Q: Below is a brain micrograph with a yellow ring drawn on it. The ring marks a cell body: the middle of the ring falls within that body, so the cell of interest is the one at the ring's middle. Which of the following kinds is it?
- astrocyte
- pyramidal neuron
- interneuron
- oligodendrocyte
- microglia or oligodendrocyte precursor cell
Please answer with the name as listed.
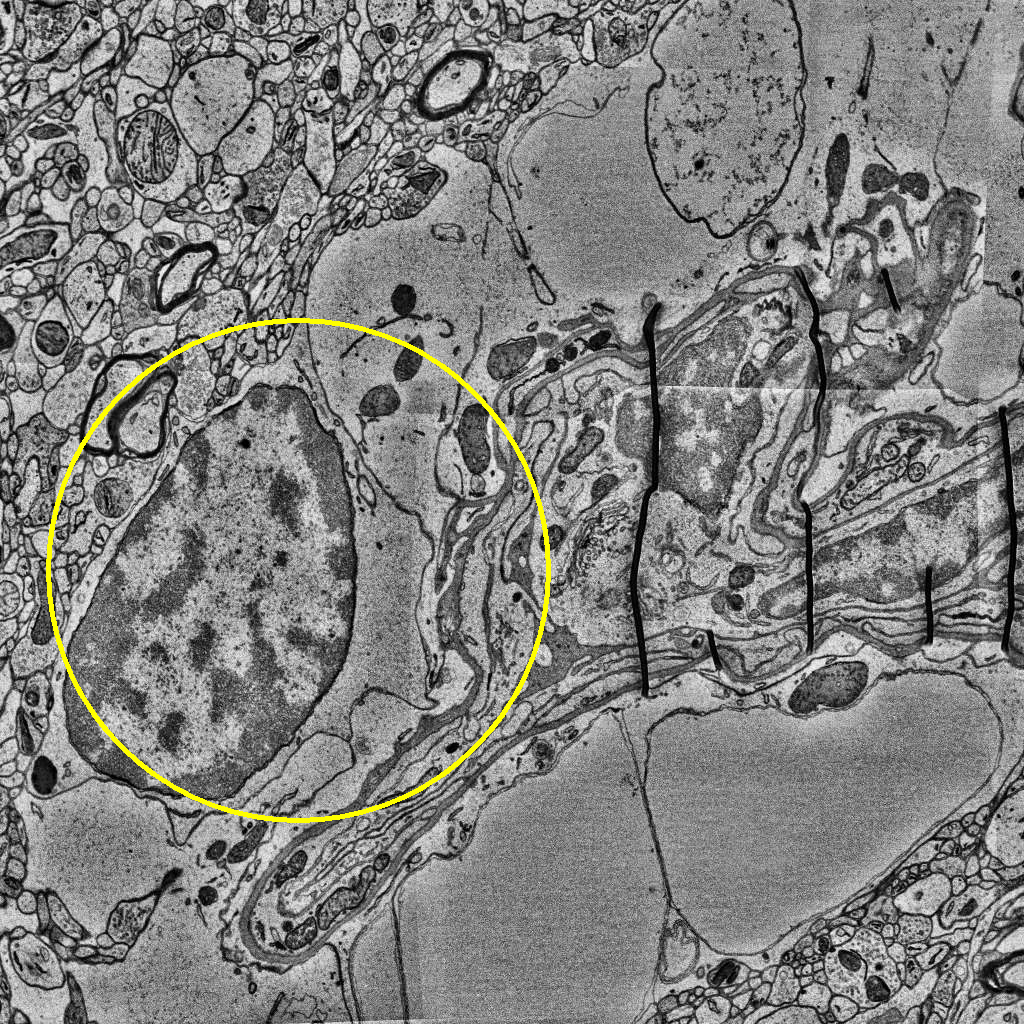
microglia or oligodendrocyte precursor cell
